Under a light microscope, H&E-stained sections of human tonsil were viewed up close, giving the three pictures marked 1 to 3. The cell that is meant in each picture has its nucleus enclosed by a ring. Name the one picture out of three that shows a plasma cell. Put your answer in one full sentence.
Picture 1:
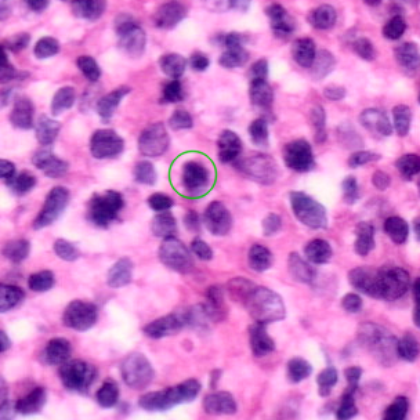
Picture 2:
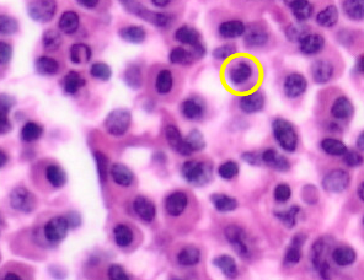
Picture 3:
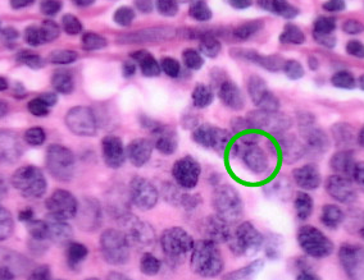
Picture 2 is the one that shows the plasma cell.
